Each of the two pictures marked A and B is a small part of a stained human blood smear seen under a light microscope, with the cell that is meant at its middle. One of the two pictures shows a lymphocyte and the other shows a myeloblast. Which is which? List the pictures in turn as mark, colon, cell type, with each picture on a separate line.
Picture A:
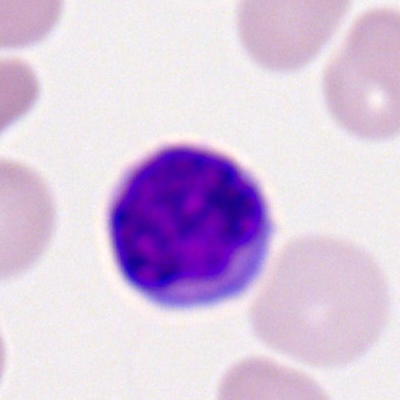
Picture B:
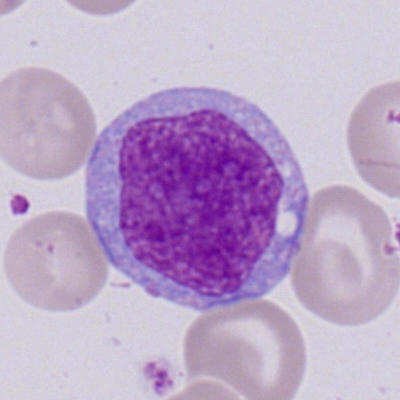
A: lymphocyte
B: myeloblast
